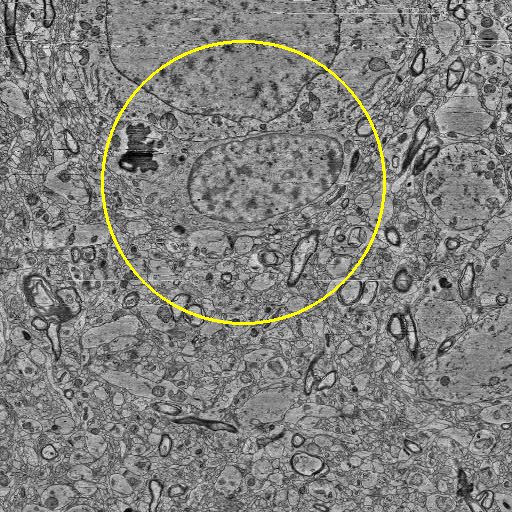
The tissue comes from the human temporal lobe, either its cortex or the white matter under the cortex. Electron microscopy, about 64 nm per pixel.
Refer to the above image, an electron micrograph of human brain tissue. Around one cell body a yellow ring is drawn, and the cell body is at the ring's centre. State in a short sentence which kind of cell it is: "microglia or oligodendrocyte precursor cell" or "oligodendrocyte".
The centre of the ring falls on an oligodendrocyte.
